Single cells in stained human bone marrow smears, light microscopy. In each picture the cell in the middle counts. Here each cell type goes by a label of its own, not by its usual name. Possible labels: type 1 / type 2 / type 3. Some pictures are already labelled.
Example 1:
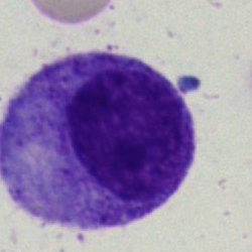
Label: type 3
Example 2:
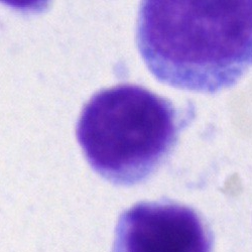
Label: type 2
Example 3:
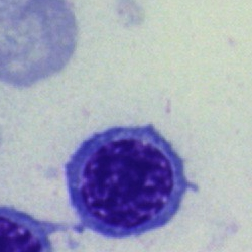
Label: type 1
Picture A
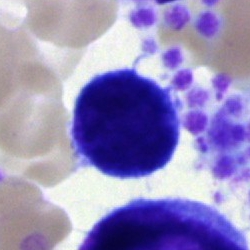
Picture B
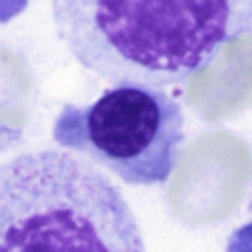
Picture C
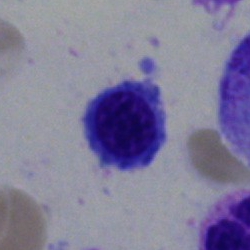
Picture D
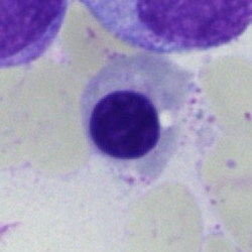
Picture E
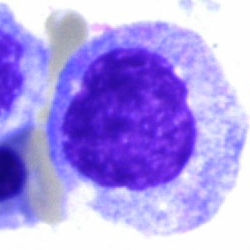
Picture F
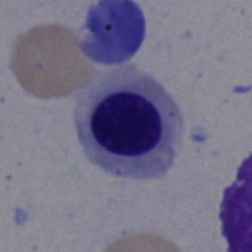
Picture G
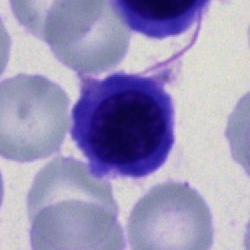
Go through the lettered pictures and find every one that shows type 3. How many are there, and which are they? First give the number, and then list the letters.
1: E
